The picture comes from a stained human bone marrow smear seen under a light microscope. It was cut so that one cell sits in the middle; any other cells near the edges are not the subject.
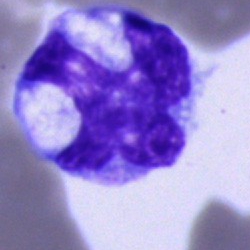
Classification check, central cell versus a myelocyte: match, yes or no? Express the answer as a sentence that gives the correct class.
No, in this crop the central cell is a monocyte instead of a myelocyte.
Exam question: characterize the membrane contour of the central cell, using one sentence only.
An irregular outline, ragged or marked by projections, surrounds this cell.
